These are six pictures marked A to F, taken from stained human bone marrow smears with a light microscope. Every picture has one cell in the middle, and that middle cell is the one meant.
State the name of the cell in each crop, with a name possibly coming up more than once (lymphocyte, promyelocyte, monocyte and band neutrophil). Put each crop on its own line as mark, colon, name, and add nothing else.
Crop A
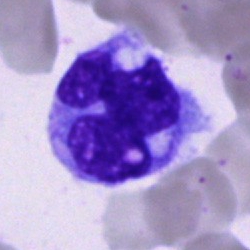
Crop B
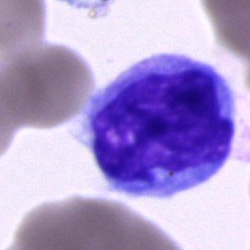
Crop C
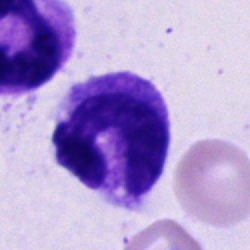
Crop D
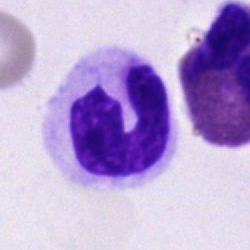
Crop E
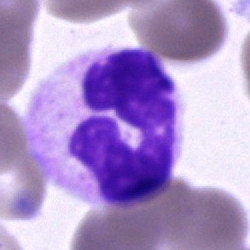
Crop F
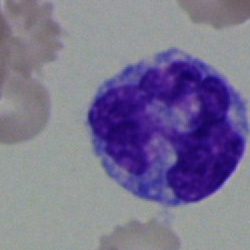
A: monocyte
B: monocyte
C: band neutrophil
D: band neutrophil
E: band neutrophil
F: monocyte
